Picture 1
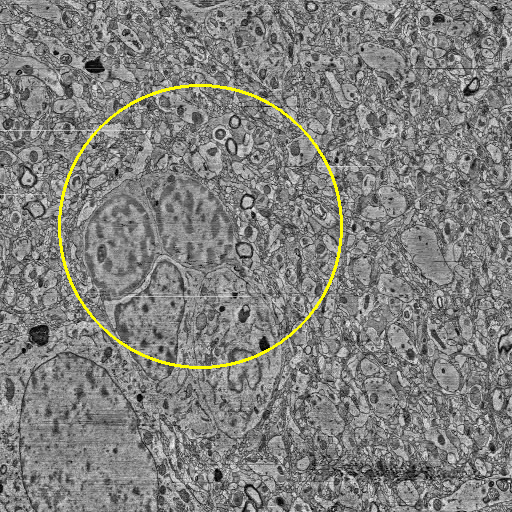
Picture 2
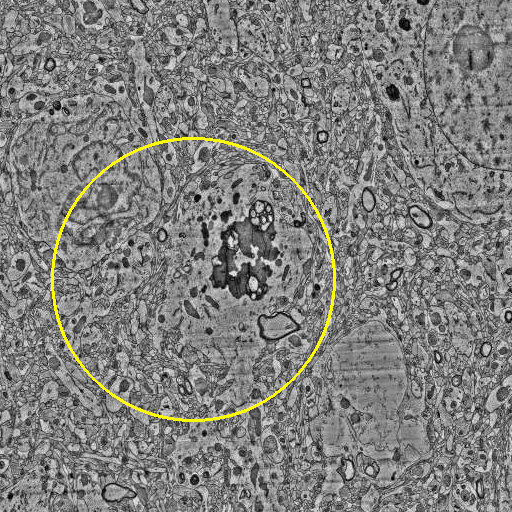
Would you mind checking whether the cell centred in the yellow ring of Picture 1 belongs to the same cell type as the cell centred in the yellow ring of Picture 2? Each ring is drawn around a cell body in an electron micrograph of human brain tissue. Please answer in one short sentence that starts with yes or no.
No, the two cells are of two types.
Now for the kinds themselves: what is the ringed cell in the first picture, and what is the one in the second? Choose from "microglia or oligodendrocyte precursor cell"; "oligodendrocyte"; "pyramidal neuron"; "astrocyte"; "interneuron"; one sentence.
Here the first cell is an oligodendrocyte and the second cell is an astrocyte.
